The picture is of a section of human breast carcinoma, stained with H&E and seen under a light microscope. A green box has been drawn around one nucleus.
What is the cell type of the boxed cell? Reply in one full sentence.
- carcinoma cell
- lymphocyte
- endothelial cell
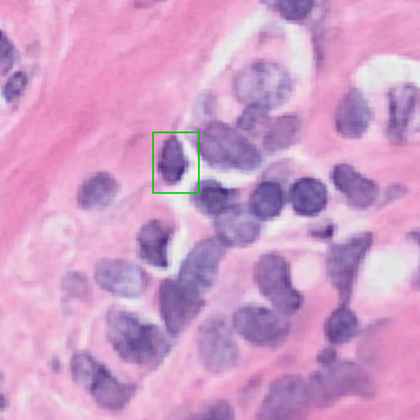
In this tissue section, the boxed cell is to be classed as a carcinoma cell.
